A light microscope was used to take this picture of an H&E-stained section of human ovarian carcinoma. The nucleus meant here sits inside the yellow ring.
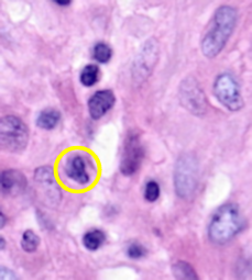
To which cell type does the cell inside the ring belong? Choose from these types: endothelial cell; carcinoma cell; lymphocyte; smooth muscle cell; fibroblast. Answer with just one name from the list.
lymphocyte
